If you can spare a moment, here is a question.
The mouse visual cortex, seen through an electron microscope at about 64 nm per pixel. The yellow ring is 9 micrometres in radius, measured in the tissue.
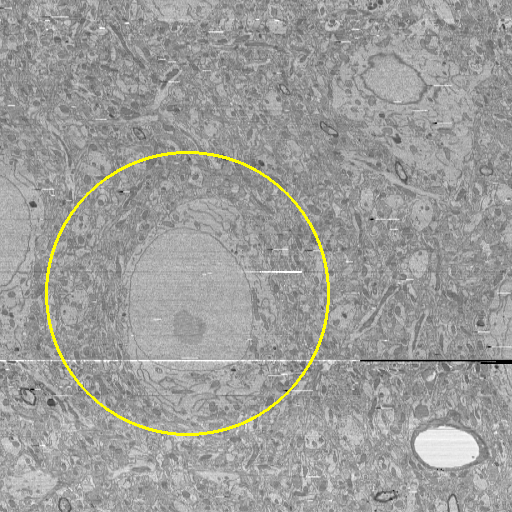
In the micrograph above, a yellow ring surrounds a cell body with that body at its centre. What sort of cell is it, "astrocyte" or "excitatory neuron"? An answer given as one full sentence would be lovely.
Centred inside the yellow ring, the cell body shown belongs to an excitatory neuron in this micrograph.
